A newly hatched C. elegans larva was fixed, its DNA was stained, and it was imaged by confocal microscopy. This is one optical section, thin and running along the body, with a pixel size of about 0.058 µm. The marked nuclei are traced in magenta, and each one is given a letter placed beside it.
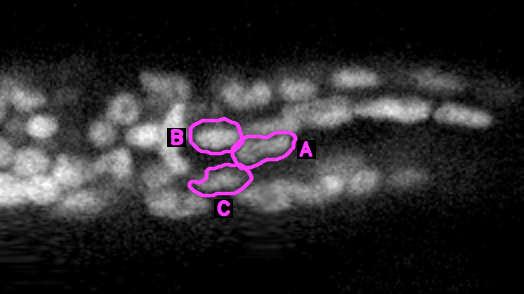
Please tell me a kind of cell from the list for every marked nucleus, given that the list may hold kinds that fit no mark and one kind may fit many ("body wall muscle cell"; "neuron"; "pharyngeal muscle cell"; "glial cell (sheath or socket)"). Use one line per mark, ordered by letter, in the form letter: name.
A: pharyngeal muscle cell
B: neuron
C: glial cell (sheath or socket)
